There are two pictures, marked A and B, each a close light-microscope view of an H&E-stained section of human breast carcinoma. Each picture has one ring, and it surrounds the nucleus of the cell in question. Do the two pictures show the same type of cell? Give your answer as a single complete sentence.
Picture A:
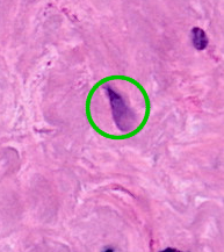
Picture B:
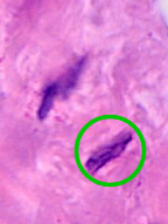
Yes, both cells are fibroblasts.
